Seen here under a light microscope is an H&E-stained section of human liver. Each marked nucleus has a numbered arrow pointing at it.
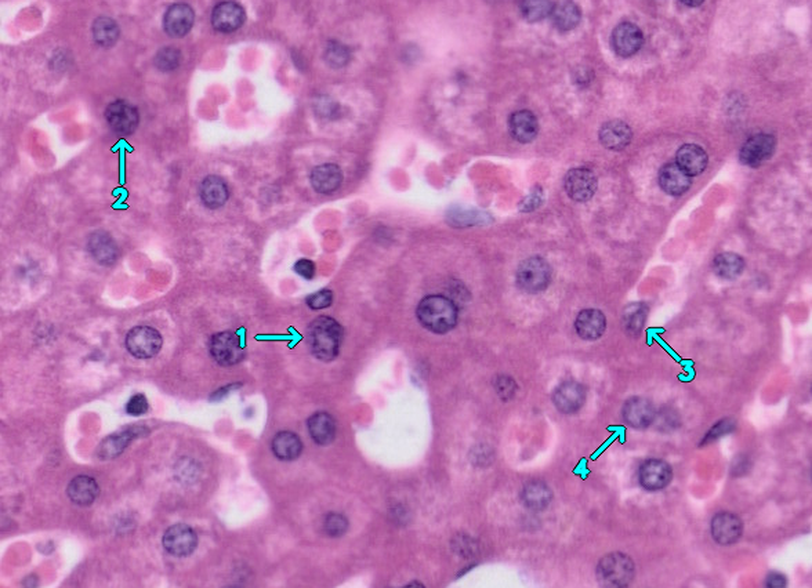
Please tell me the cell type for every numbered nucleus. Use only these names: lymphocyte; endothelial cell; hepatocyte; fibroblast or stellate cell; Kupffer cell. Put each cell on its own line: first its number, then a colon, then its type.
1: hepatocyte
2: hepatocyte
3: Kupffer cell
4: hepatocyte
